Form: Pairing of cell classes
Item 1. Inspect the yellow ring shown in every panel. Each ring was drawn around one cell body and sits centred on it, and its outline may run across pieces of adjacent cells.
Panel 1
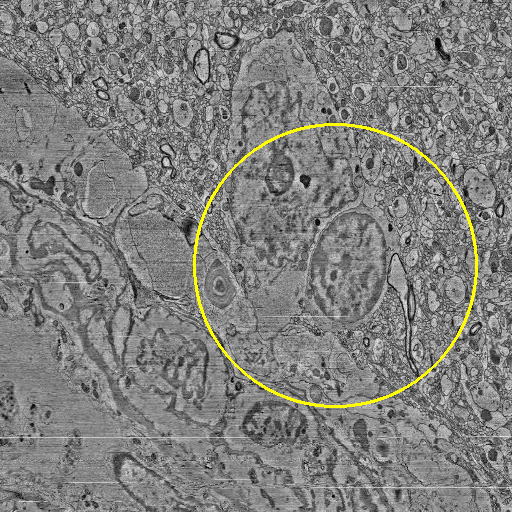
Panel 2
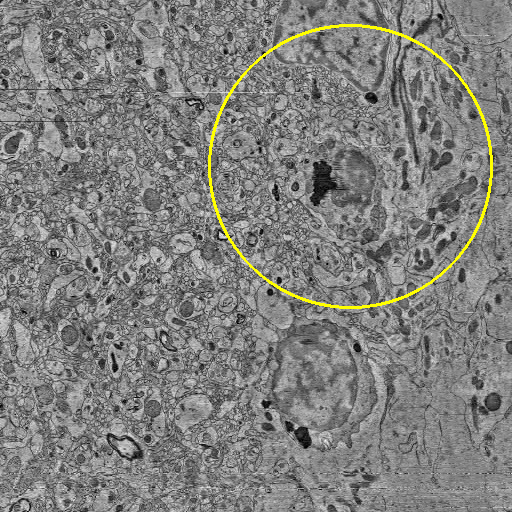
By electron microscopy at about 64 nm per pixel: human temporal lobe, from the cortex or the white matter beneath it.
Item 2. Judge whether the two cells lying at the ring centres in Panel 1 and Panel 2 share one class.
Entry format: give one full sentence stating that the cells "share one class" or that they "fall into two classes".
The cells at the ring centres in Panel 1 and Panel 2 share one class.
